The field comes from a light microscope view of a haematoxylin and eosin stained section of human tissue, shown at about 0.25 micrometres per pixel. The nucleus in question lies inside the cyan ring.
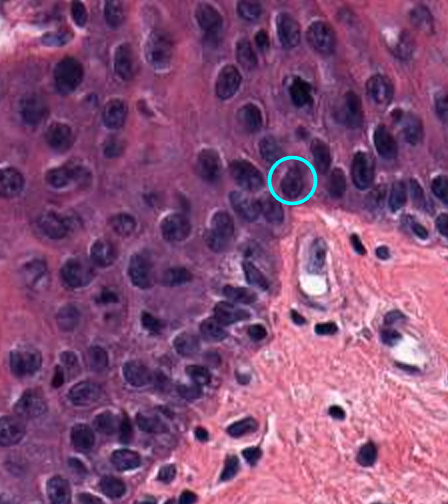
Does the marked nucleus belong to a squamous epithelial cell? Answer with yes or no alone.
yes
